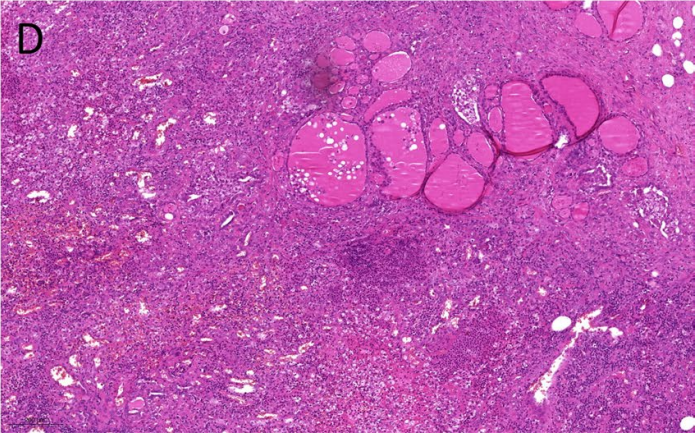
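Thyroid tissue in which a cluster of follicles filled with pink colloid, of varying size, lies within a dense, cellular stroma. Around the follicles the normal parenchyma is replaced by sheets of closely packed cells with purple nuclei, with scattered small vessels and darker focal aggregates of cells.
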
